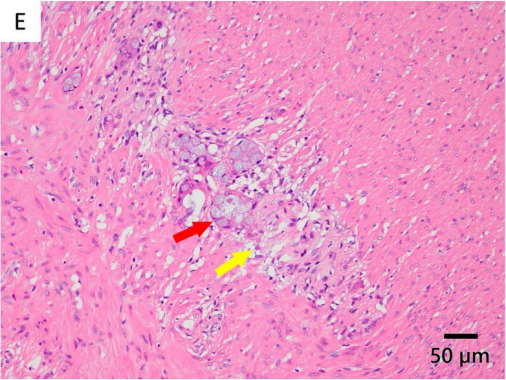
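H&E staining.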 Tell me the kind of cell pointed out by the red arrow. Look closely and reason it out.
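Tumor cell clusters. The red arrow points to a rounded nest of cells with clear vacuolated cytoplasm. The nest lies within pink spindle-cell stroma.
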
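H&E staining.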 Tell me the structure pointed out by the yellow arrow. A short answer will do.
nerves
